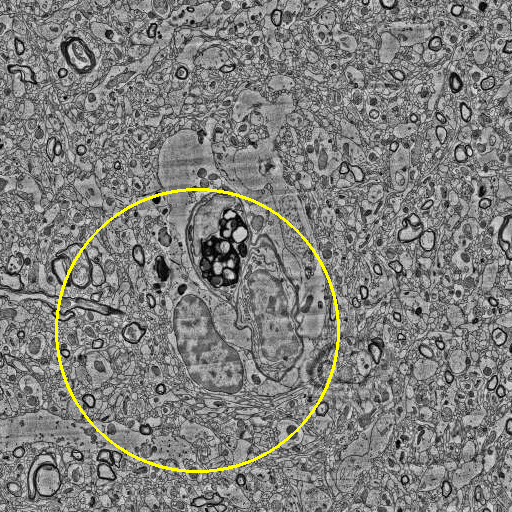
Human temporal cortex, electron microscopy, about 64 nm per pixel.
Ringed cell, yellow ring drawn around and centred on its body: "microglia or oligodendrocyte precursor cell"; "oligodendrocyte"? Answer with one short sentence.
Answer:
This ringed cell is a microglial cell or oligodendrocyte precursor cell.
